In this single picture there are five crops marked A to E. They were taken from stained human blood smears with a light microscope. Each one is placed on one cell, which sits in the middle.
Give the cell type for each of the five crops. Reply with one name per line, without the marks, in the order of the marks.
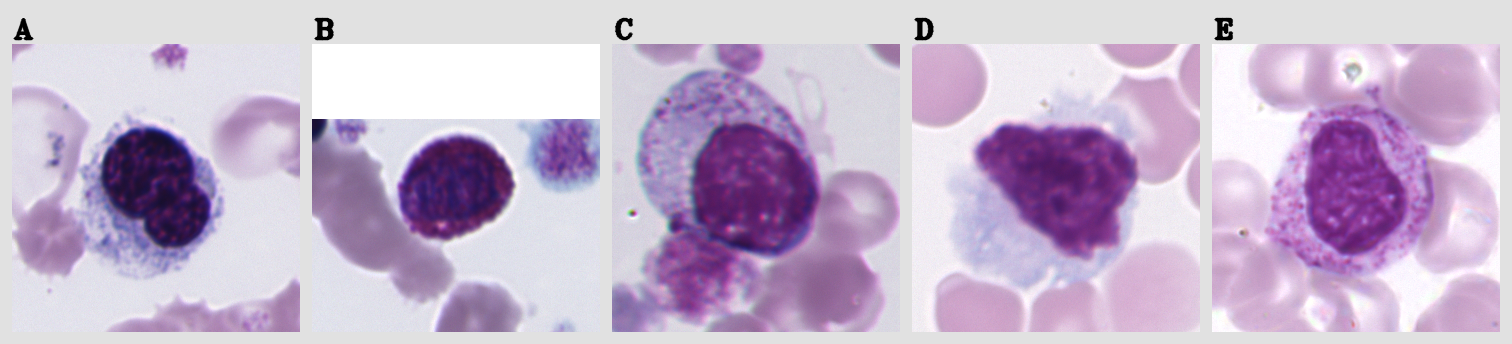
normoblast
eosinophil
myelocyte
hairy cell
metamyelocyte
